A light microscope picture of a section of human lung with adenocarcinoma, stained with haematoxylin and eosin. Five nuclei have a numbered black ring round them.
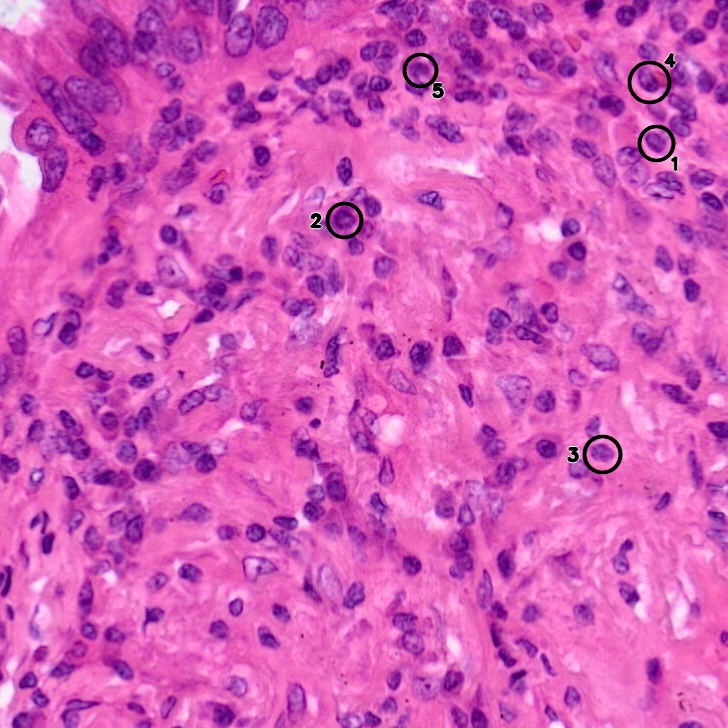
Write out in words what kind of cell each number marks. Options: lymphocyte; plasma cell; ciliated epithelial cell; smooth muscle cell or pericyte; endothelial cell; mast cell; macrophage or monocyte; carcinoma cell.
Cells 1, 3 and 4 are lymphocytes. Cells 2 and 5 are plasma cells.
